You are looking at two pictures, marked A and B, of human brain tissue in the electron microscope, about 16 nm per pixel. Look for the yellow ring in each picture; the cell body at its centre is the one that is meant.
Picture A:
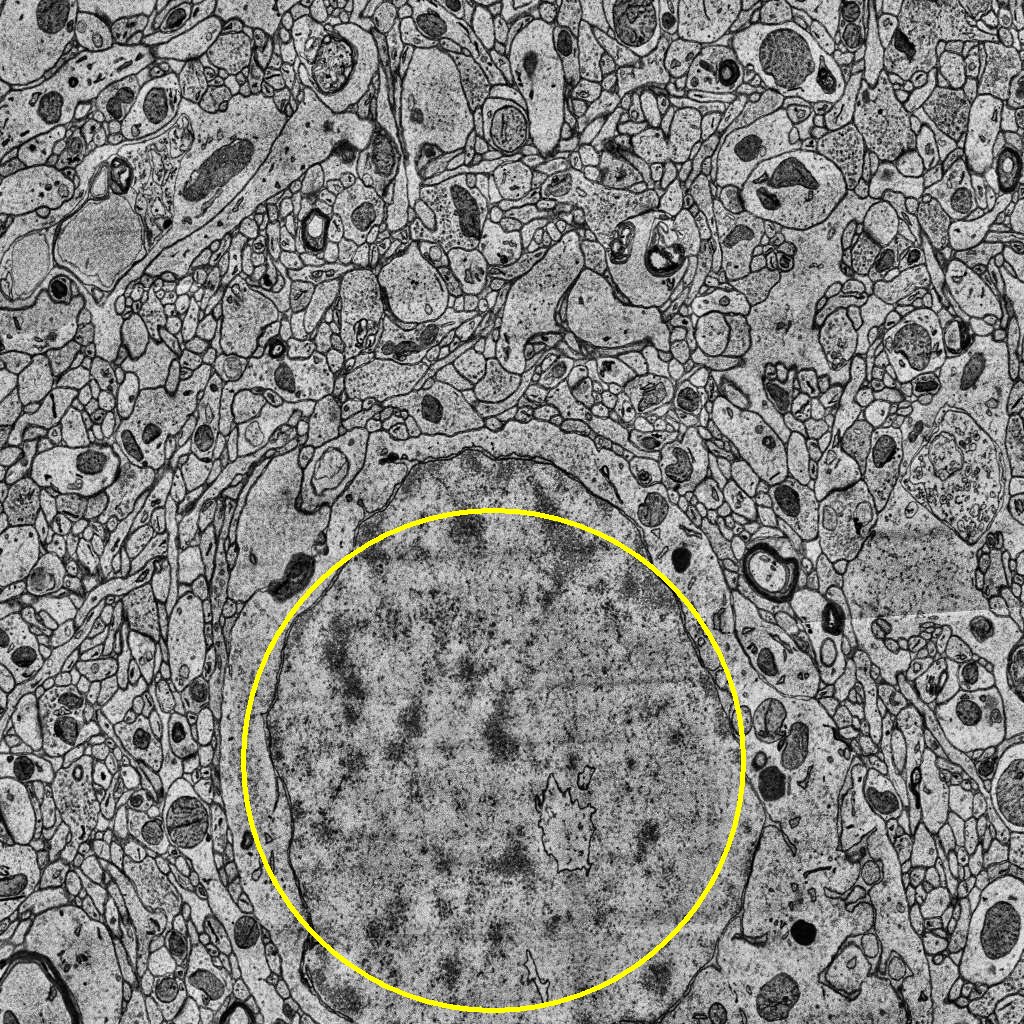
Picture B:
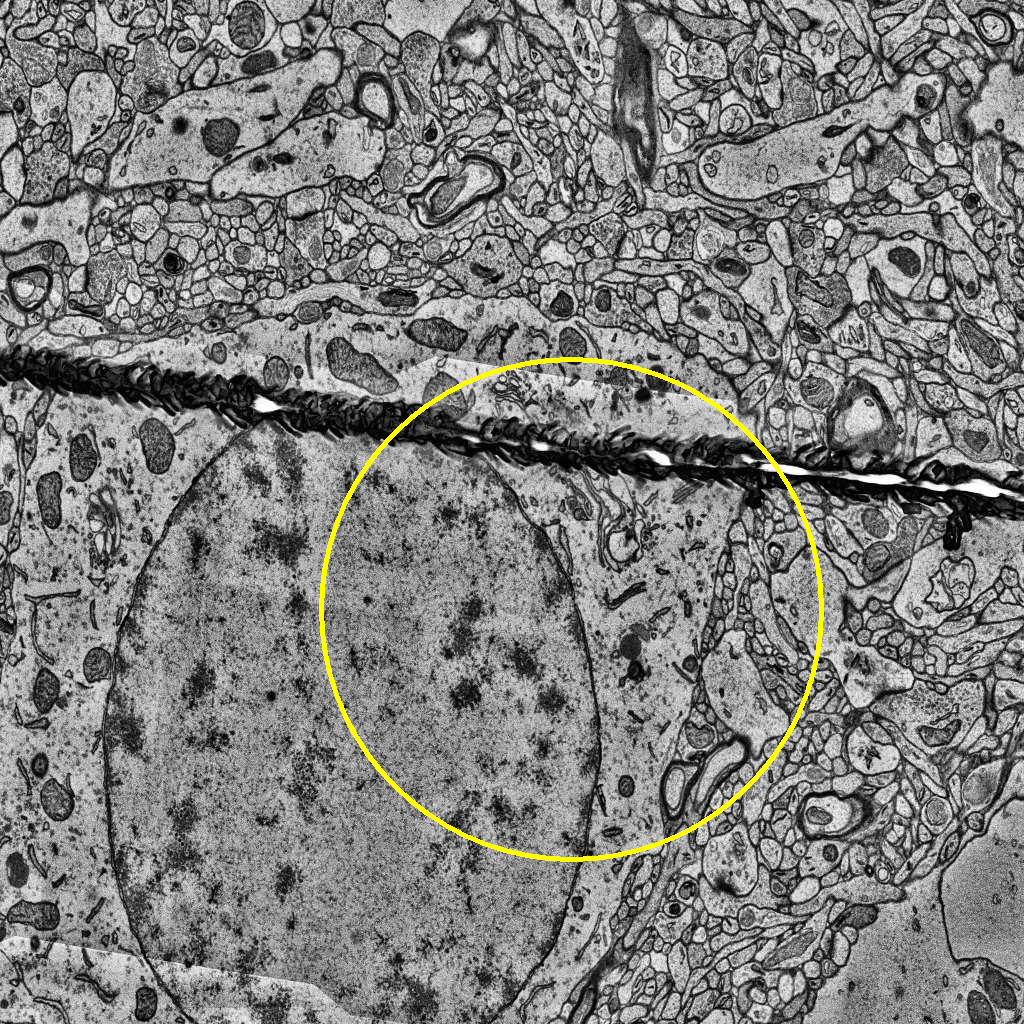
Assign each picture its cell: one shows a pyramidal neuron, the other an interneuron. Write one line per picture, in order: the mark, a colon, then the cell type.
A: interneuron
B: pyramidal neuron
